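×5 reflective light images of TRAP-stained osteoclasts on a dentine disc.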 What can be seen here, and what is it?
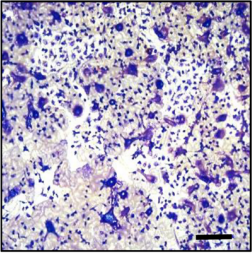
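Many much smaller dark purple cells are scattered densely between them over a pale pink-violet background. Paler, whitish patches of the surface appear between the cells.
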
